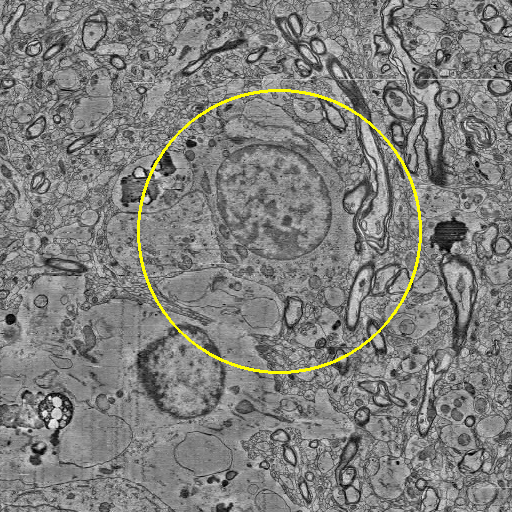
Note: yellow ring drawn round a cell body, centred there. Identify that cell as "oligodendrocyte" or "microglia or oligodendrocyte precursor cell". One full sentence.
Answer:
The cell in the middle of the ring is an oligodendrocyte.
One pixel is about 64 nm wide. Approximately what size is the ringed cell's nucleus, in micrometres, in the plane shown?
The nucleus measures about 8 by 7 micrometres in this plane.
